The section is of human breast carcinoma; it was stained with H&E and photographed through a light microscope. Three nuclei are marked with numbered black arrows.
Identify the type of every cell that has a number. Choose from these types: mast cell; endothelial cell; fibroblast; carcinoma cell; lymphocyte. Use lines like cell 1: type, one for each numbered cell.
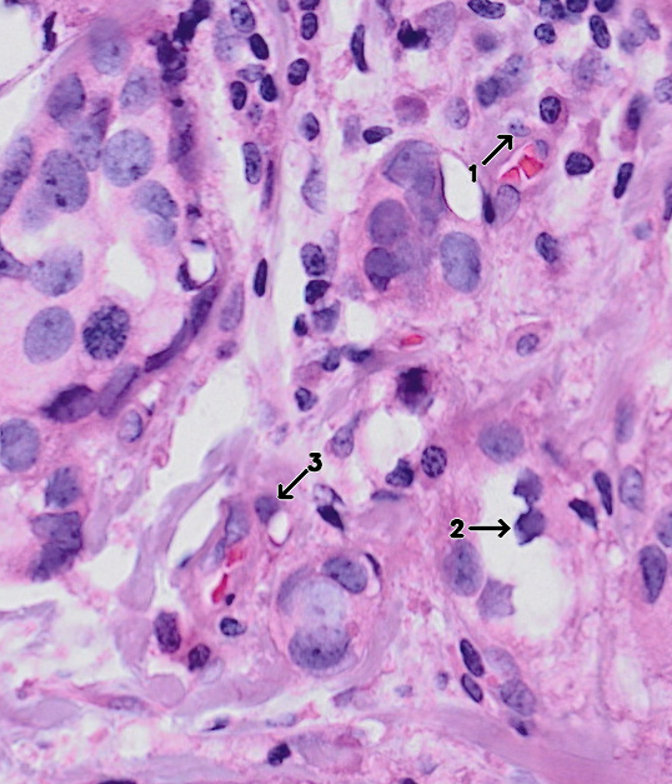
cell 1: endothelial cell
cell 2: carcinoma cell
cell 3: endothelial cell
